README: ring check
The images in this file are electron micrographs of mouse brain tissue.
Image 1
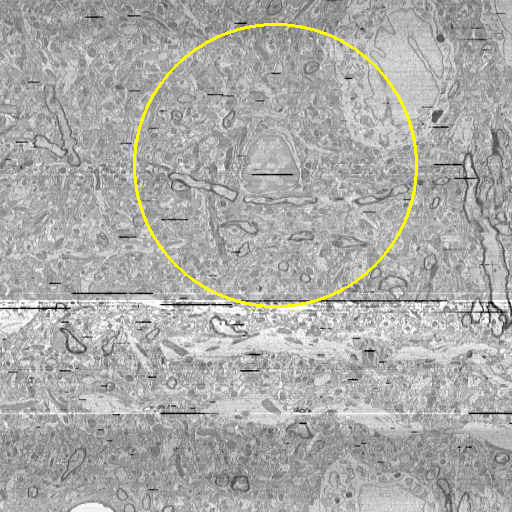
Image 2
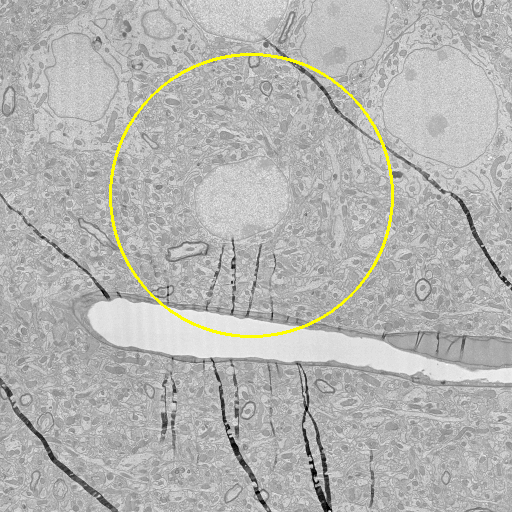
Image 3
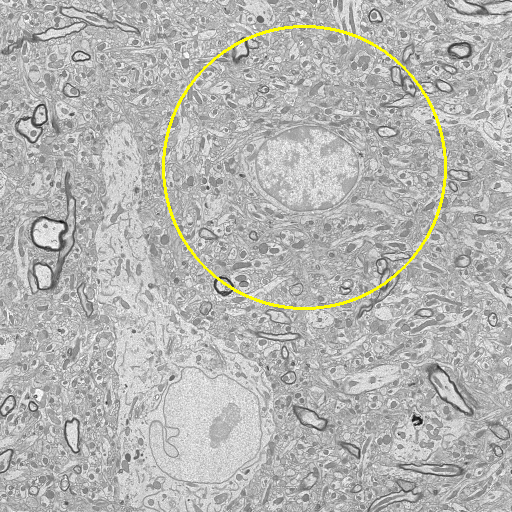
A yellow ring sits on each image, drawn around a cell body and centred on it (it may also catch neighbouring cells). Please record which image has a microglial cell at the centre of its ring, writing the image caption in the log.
Image 1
